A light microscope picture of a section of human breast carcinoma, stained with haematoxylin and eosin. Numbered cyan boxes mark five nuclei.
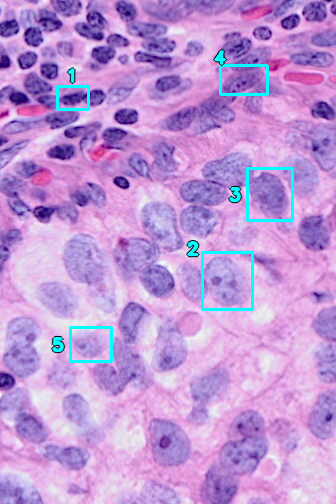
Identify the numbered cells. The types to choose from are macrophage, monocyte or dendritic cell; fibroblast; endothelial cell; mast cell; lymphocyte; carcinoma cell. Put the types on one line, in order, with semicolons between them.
lymphocyte; carcinoma cell; carcinoma cell; endothelial cell; carcinoma cell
